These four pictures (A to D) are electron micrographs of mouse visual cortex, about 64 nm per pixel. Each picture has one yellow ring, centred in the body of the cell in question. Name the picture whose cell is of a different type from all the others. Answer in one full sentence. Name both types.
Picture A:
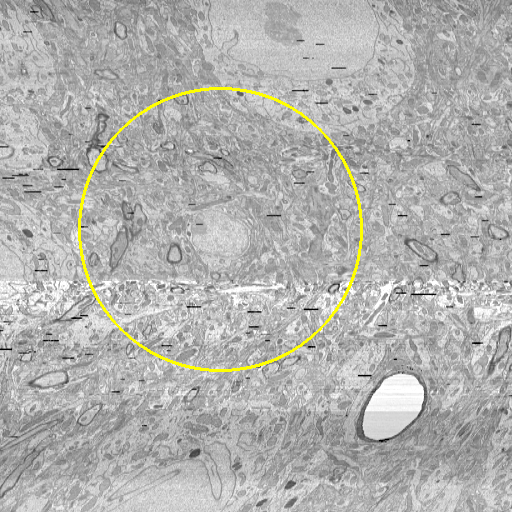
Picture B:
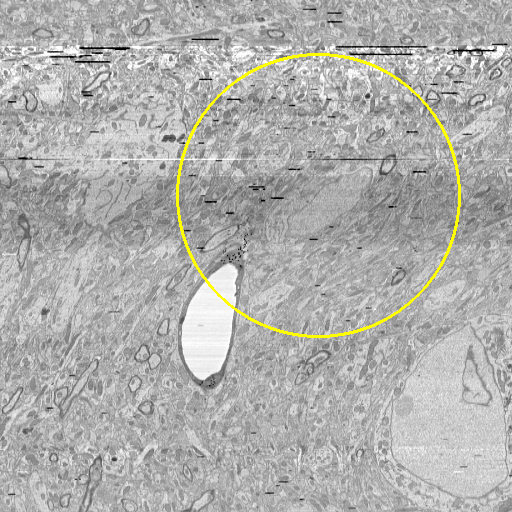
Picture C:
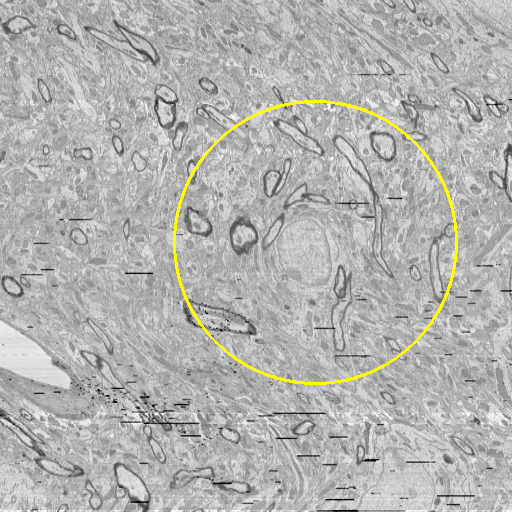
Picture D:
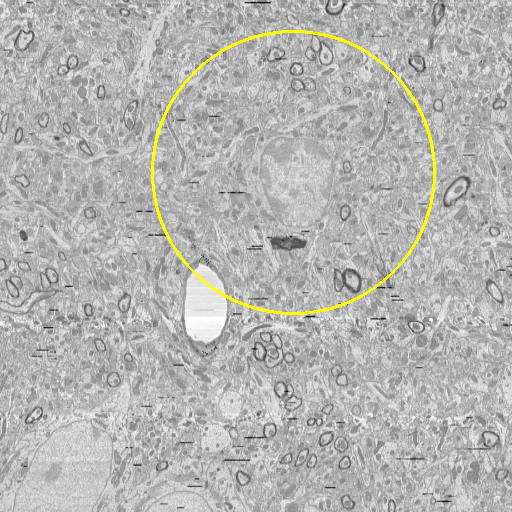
All pictures except D show oligodendrocyte precursor cells; picture D shows an oligodendrocyte.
